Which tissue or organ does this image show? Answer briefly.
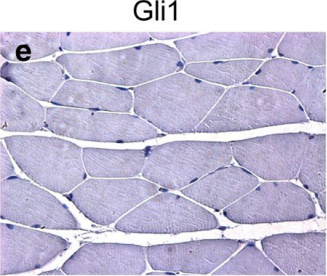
Normal muscle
